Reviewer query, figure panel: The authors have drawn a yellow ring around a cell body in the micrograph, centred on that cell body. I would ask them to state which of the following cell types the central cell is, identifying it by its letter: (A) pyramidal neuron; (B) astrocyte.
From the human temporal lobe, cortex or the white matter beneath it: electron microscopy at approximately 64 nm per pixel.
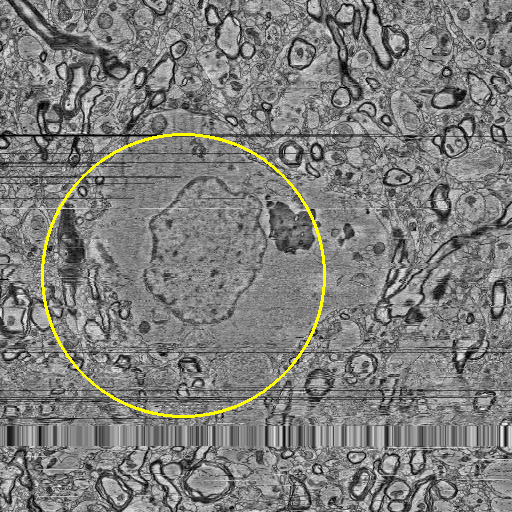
B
